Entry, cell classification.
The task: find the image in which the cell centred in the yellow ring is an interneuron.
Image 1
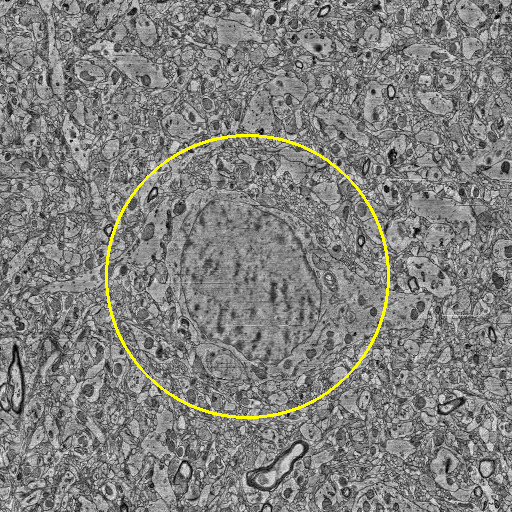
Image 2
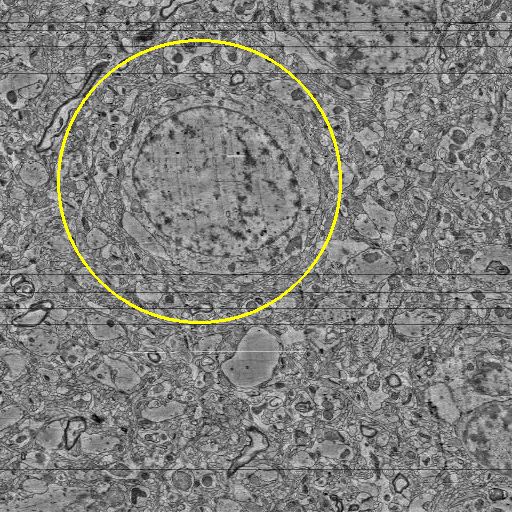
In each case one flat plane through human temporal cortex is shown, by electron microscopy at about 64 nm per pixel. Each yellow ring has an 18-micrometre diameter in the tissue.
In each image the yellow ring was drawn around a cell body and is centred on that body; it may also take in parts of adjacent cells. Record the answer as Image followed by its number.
Image 1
